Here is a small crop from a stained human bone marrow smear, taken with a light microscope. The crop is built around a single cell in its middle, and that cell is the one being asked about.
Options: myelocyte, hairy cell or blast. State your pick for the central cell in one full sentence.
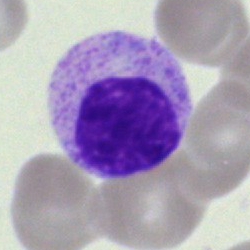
The identification for the central cell is a myelocyte.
